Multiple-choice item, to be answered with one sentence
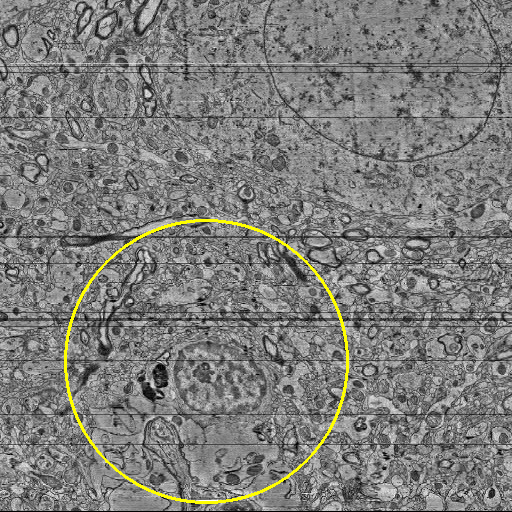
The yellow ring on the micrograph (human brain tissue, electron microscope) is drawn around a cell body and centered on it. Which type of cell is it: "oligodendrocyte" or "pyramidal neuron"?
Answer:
The ring is centered on an oligodendrocyte.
